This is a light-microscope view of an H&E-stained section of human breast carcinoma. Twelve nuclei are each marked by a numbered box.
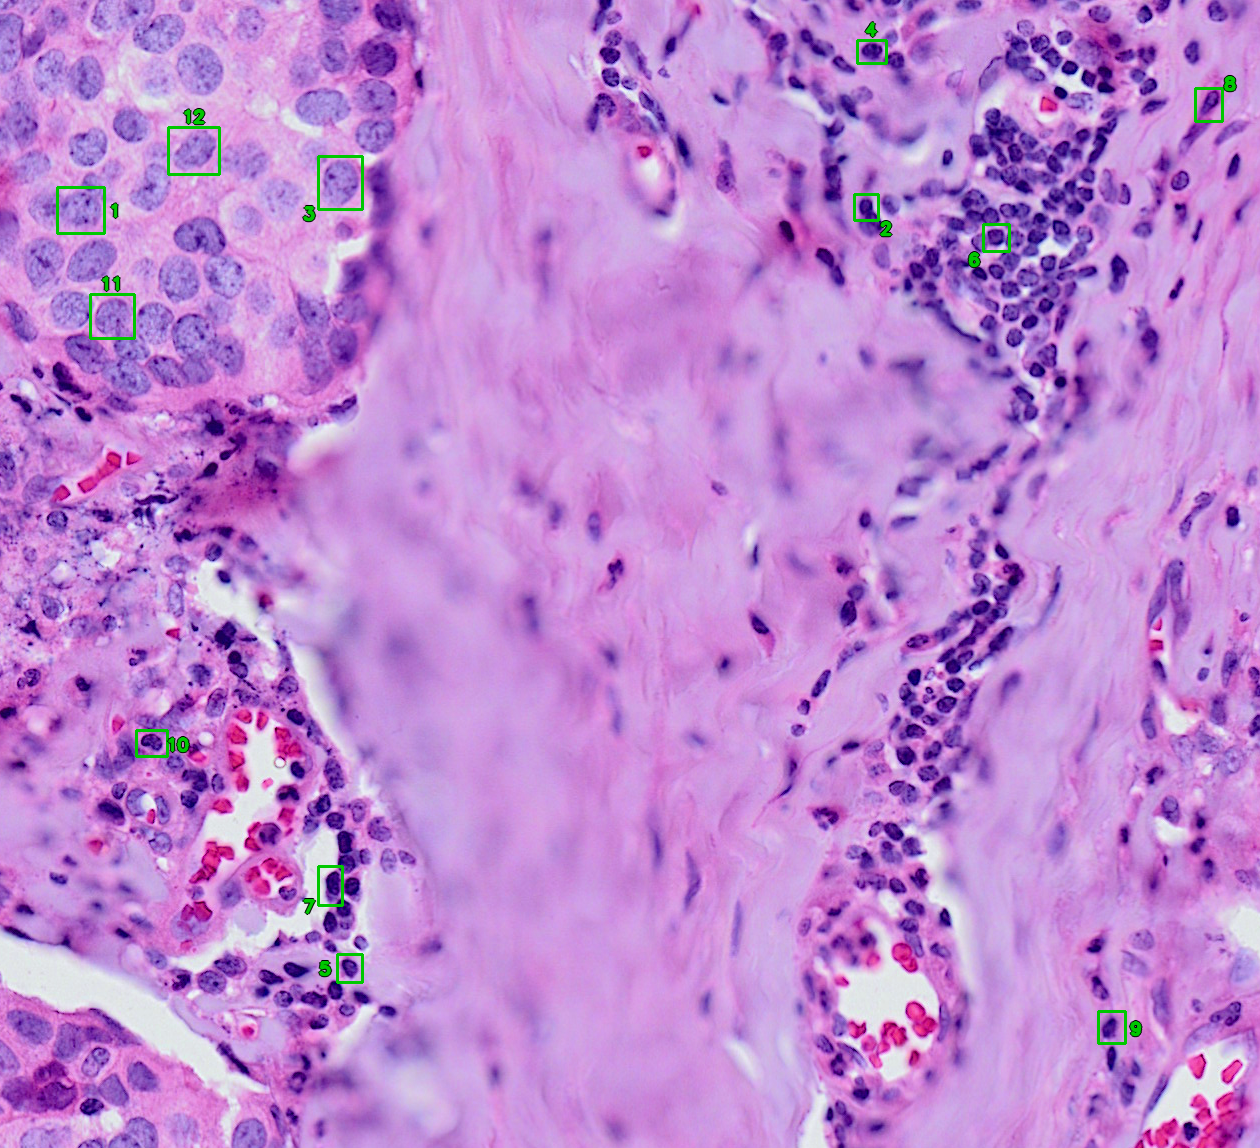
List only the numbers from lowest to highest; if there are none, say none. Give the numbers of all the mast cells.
8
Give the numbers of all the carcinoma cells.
1, 3, 11, 12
